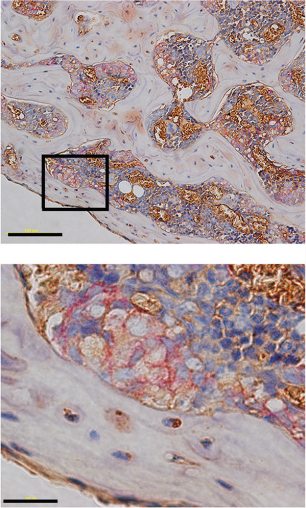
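Section of bone with pale, lightly stained trabeculae of bone matrix that hold scattered small nuclei in lacunae, separating rounded marrow spaces. The marrow spaces are densely packed with cells, many with blue nuclei, and much of the marrow carries brown stain. In the magnified region, a cluster of cells next to the bone surface shows red staining outlining their cell borders.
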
